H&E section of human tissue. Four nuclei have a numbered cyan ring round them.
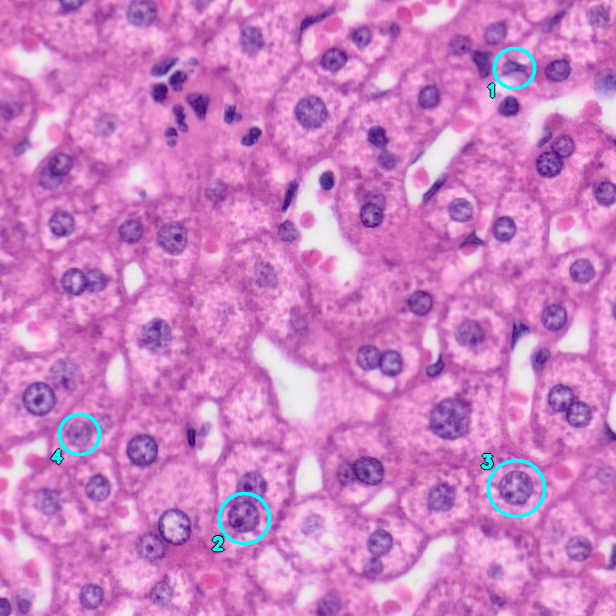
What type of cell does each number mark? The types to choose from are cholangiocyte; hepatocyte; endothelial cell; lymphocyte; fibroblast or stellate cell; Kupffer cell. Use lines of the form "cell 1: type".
cell 1: endothelial cell
cell 2: hepatocyte
cell 3: hepatocyte
cell 4: hepatocyte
